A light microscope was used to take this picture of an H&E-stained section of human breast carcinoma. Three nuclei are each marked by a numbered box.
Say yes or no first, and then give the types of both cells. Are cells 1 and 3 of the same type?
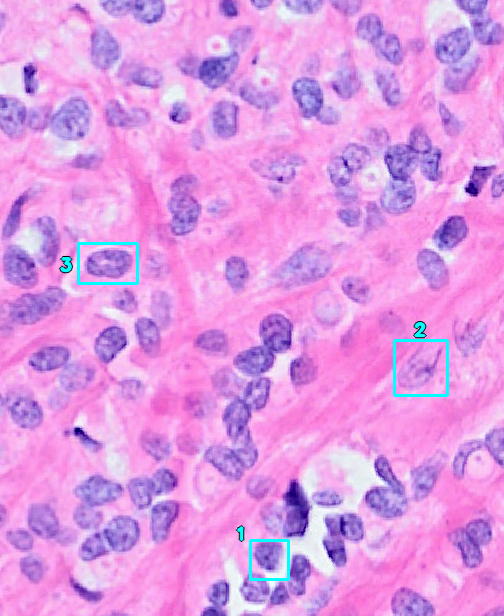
Yes, both are carcinoma cells.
